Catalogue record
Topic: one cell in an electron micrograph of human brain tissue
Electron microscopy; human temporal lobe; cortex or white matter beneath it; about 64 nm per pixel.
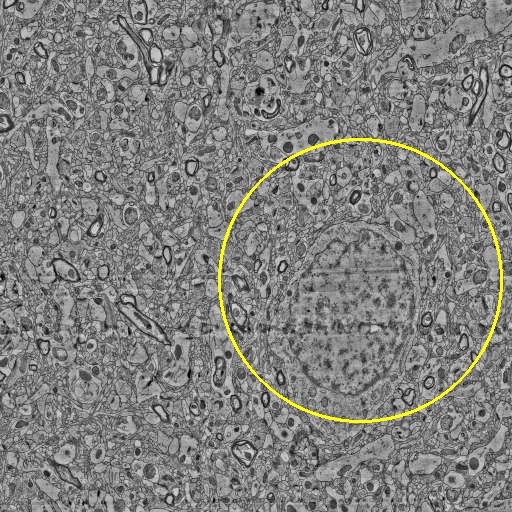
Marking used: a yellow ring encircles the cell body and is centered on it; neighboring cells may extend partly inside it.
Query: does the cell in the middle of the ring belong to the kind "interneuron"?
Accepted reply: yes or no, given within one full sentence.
Yes, the cell centered in the ring in the picture is of that kind.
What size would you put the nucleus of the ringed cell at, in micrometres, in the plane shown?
Approximately 10 by 8 micrometers in this plane.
